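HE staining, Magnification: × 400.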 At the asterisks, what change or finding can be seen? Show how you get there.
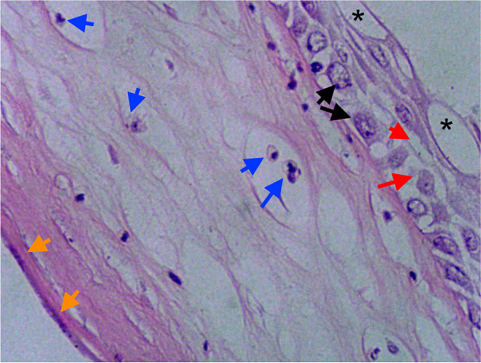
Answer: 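The asterisks lie beside round, clear, empty spaces. The clear spaces sit among the cells of the outer cellular layer at the upper right.
Vacuoles.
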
